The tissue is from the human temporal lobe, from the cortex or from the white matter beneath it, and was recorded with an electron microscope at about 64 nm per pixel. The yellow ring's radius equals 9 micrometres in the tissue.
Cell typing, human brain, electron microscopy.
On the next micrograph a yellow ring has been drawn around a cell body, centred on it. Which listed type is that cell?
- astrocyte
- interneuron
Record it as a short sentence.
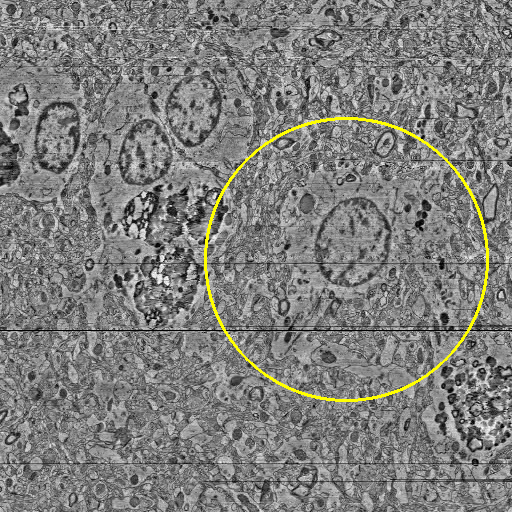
The cell body in the ring's centre belongs to an astrocyte.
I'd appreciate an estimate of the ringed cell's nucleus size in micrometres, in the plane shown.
In this plane, approximately 6 by 5 micrometers.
